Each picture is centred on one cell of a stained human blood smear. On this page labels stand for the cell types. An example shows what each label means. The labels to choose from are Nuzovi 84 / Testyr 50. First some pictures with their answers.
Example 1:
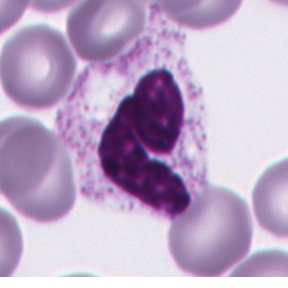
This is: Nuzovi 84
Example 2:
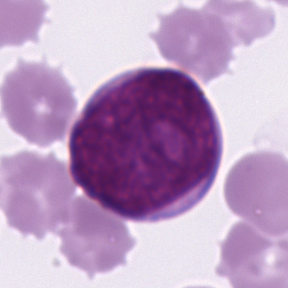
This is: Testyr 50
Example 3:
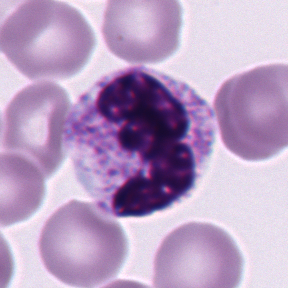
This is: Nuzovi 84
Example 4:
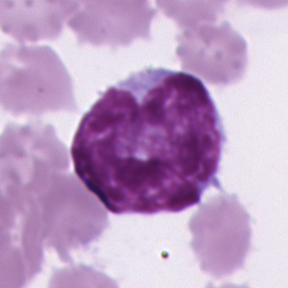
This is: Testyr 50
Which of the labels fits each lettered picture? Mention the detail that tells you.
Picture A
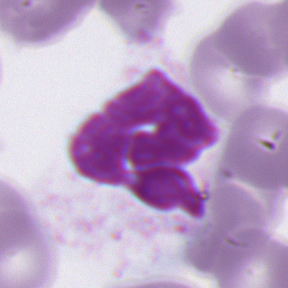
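Nuzovi 84. The nucleus is divided into several lobes folded closely together into a compact cluster.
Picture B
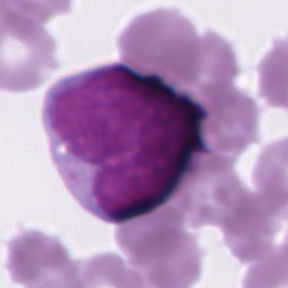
Testyr 50. The nucleus fills most of the cell.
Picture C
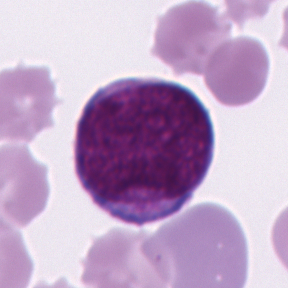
Testyr 50. The cytoplasm forms only a narrow crescent at the lower edge of the cell.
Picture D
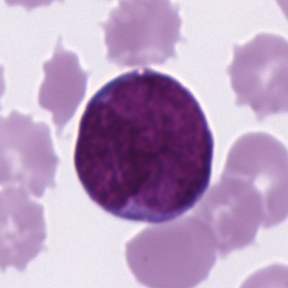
Testyr 50. The cytoplasm is a thin rim that is widest at the bottom of the cell.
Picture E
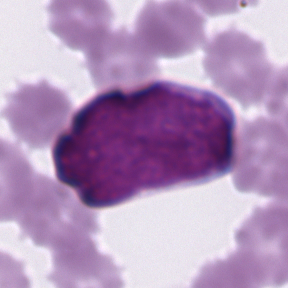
Testyr 50. Cytoplasm shows only as a very thin rim around the nucleus.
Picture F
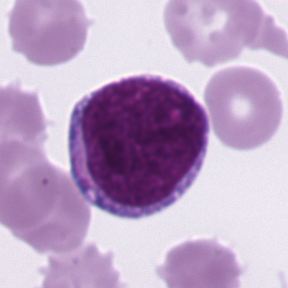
Testyr 50. The cytoplasm forms a narrow crescent that is widest on the left side.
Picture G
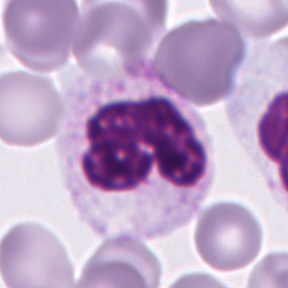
Nuzovi 84. The nucleus has two broad lobes joined across the top, with a notch opening downward between them.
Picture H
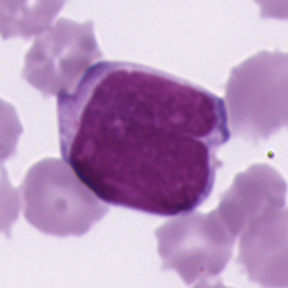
Testyr 50. The cytoplasm forms a thin pale bluish rim around the nucleus.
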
